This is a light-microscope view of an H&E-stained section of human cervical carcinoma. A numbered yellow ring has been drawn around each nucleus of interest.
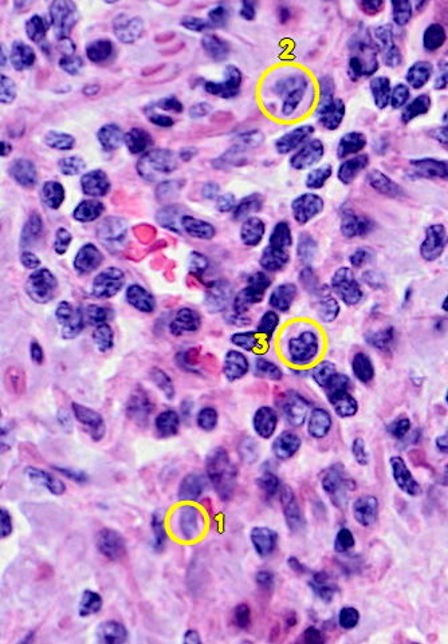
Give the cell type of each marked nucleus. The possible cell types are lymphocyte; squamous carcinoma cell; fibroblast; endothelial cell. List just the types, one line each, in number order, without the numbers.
endothelial cell
lymphocyte
lymphocyte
